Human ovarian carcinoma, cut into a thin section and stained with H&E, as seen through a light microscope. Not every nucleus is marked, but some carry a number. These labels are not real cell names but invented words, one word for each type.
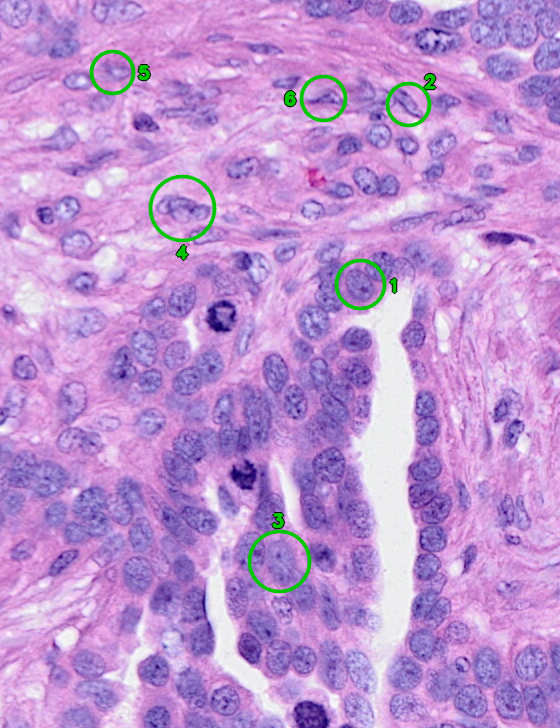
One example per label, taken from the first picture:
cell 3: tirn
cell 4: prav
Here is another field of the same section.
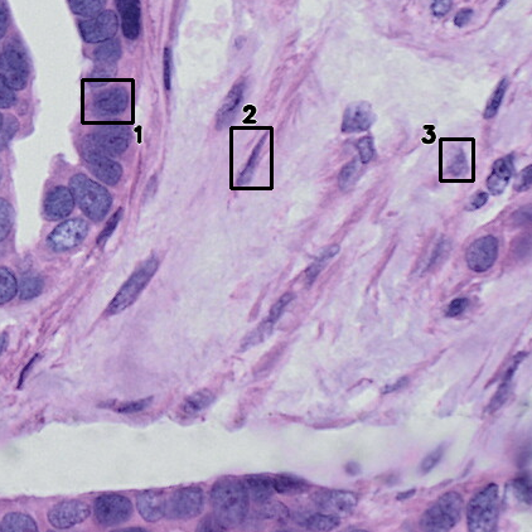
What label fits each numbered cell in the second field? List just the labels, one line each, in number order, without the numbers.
tirn
prav
prav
